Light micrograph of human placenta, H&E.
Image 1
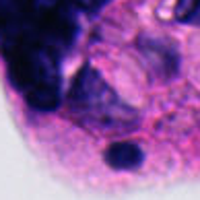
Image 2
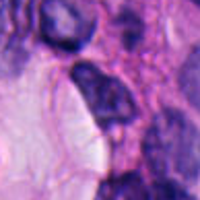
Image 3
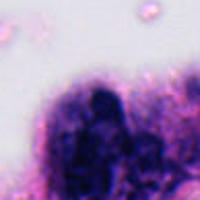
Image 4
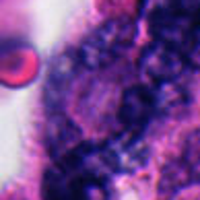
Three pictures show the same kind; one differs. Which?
Picture 3: a syncytial knot, while the others are cytotrophoblasts.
